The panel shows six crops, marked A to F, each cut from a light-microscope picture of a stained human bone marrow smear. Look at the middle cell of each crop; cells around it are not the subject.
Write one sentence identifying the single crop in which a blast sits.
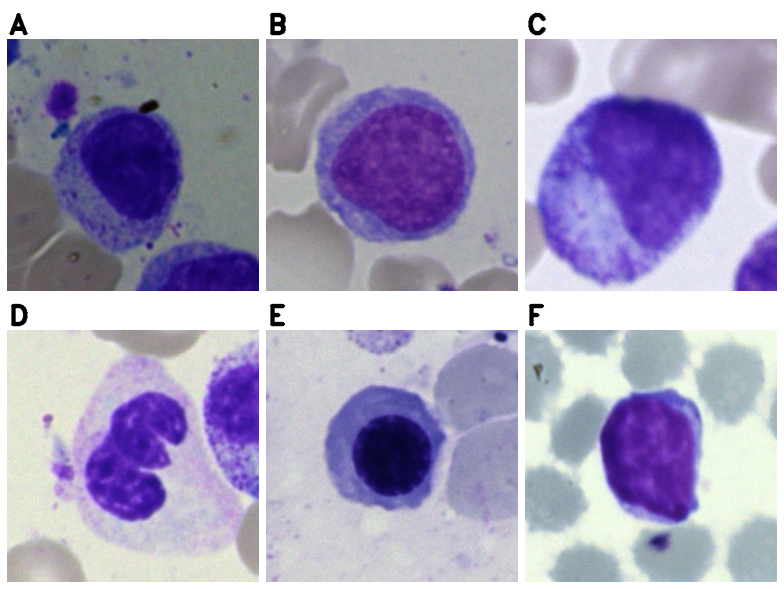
The requested cell, a blast, is the one in crop B.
